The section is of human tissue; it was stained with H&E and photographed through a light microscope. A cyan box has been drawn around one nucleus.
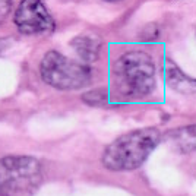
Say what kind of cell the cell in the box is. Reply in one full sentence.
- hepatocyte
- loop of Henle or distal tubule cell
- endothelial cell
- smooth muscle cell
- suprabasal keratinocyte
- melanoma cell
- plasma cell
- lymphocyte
The cell in the box appears to be a melanoma cell.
